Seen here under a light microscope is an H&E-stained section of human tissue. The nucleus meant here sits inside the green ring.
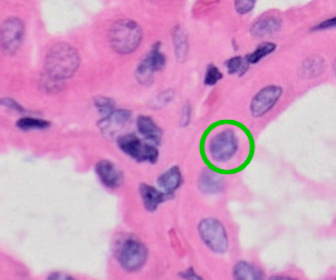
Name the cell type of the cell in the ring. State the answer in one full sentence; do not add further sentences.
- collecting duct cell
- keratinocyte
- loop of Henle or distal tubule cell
As far as its identity is concerned, the cell in the ring is a loop of Henle or distal tubule cell.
